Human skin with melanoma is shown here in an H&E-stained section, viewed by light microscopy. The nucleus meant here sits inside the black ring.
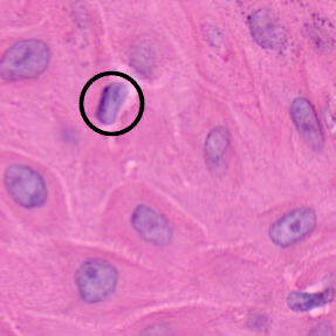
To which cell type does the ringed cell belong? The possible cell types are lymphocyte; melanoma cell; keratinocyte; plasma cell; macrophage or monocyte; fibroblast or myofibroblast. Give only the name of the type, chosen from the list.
keratinocyte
